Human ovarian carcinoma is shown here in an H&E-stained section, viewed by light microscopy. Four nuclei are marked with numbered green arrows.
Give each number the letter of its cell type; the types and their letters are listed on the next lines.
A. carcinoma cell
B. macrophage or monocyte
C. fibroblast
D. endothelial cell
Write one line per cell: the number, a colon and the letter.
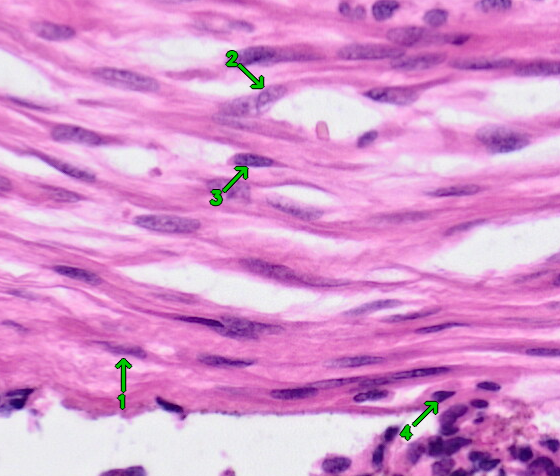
1: C
2: C
3: C
4: B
